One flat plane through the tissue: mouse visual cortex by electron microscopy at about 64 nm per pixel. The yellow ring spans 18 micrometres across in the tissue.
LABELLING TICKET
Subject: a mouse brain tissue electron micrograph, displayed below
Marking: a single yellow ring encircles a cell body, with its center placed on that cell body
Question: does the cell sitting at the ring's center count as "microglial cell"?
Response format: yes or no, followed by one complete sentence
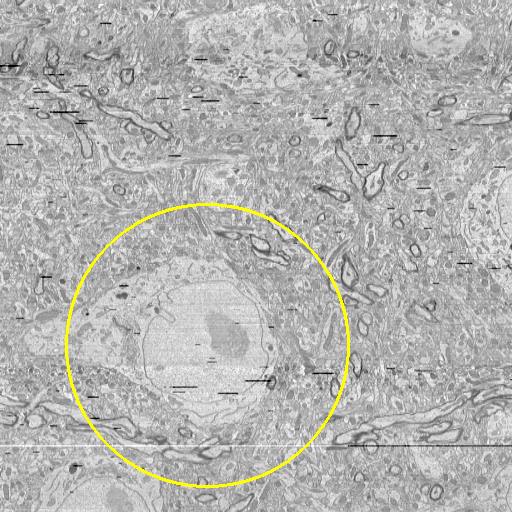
No, the cell at the center of the ring in the picture belongs to another kind.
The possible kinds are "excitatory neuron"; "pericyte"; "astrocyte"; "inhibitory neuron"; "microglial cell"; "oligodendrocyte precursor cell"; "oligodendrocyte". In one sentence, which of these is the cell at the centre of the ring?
What the ring encloses here is an excitatory neuron.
